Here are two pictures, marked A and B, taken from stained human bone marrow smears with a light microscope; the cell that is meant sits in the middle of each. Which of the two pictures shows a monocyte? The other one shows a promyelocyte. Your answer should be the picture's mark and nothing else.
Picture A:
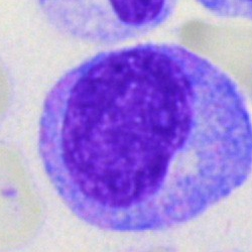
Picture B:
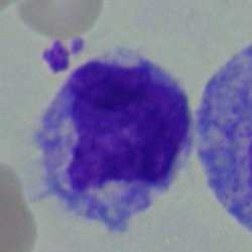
B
